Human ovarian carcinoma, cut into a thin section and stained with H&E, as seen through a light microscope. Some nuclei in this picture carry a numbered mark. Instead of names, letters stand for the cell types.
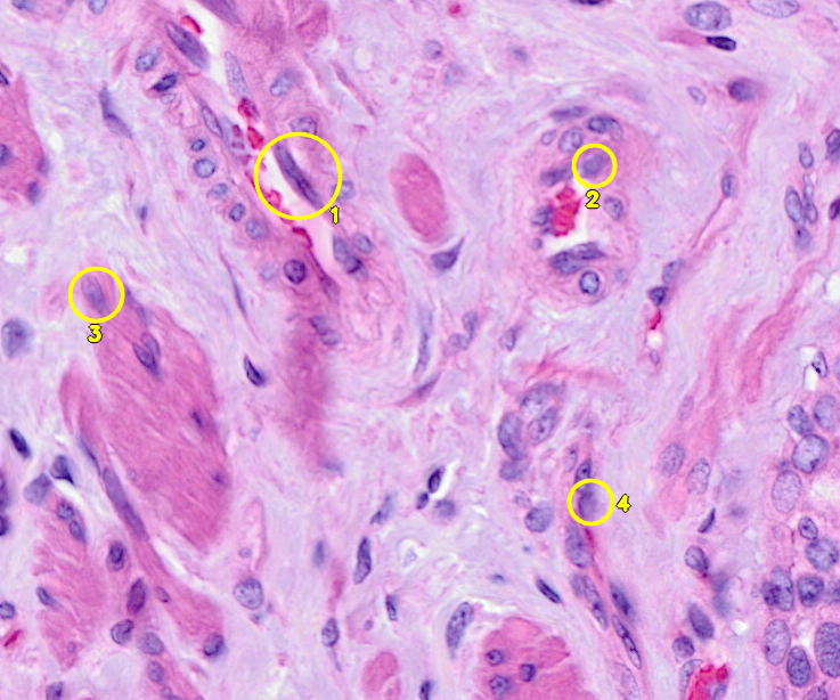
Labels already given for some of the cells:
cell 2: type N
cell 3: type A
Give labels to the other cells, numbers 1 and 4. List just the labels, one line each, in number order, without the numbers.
type N
type N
